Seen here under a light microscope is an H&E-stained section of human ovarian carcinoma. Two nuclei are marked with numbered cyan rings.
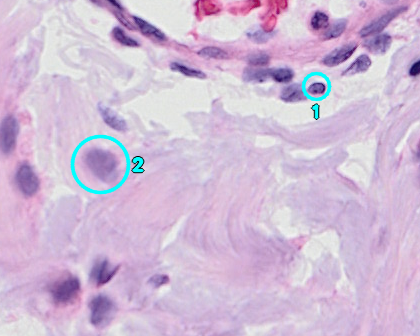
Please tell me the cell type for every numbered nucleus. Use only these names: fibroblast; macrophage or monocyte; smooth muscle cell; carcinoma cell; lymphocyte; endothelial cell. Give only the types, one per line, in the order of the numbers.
lymphocyte
fibroblast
